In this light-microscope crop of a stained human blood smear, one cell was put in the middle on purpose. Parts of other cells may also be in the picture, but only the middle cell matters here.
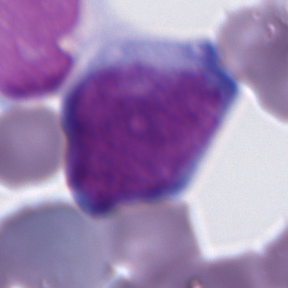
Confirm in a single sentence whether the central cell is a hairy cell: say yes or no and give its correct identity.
No, the central cell is identified not as a hairy cell but as a myeloblast.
